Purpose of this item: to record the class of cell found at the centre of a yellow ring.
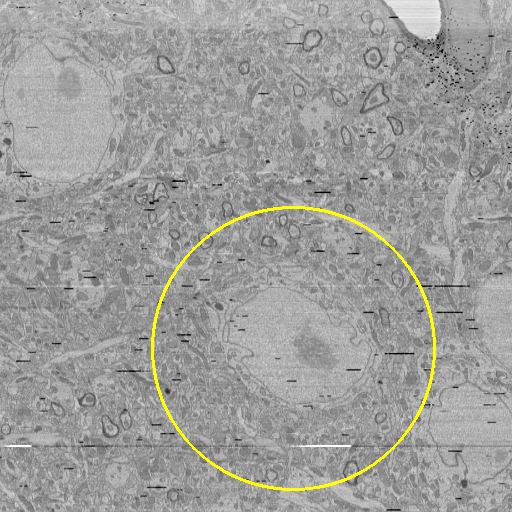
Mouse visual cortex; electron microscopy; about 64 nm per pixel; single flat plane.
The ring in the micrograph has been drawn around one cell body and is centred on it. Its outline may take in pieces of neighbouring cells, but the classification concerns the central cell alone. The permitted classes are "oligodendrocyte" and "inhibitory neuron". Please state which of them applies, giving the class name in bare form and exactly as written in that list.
inhibitory neuron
